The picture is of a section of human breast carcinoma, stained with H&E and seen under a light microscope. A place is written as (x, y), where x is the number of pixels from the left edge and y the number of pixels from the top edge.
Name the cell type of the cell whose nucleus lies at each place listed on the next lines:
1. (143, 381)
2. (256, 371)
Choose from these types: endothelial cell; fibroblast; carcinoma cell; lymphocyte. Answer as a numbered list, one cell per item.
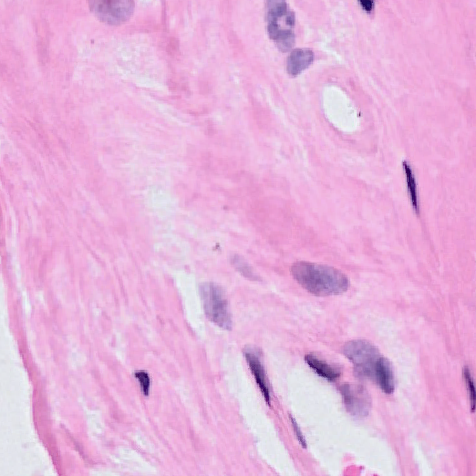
1. fibroblast
2. endothelial cell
